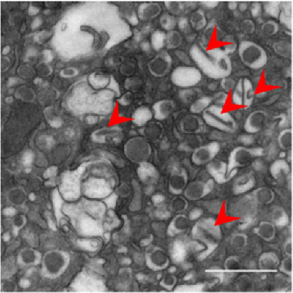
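Transmission electron micrograph of β-cell cytoplasm filled with secretory granules. Most granules show a dark dense core within a pale halo bounded by a membrane. Several granules contain elongated, rod-like dark cores instead of round ones. Scattered among the granules are larger pale, irregular membrane-bound spaces.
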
